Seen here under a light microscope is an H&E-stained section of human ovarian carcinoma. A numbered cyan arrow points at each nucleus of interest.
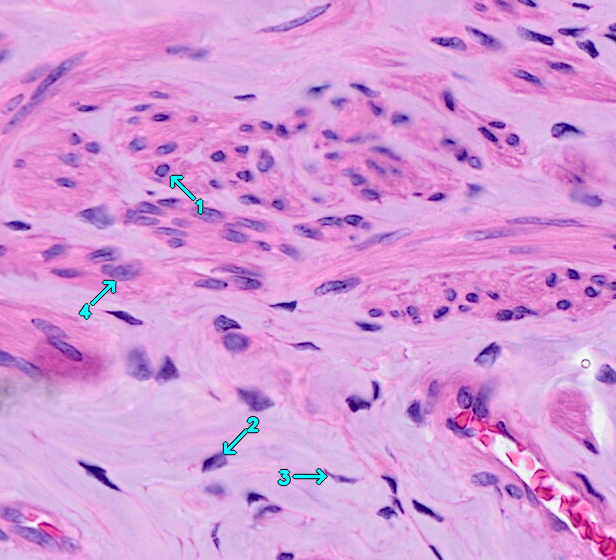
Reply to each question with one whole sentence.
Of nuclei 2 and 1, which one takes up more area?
Of the two, number 2 is bigger and takes up about 1.5 times the area of number 1.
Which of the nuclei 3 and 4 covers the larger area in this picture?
At about 4 times the area of nucleus 3, nucleus 4 is the larger of the two.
